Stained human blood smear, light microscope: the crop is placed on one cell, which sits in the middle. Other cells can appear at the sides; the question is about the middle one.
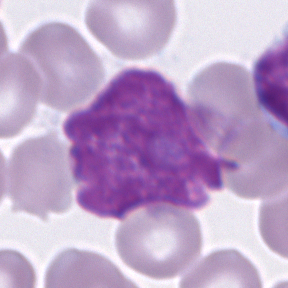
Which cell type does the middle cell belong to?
smudge cell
